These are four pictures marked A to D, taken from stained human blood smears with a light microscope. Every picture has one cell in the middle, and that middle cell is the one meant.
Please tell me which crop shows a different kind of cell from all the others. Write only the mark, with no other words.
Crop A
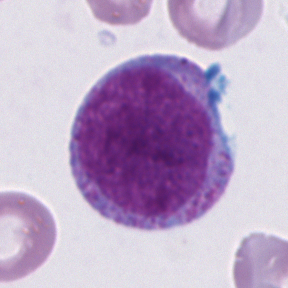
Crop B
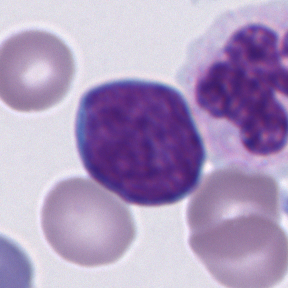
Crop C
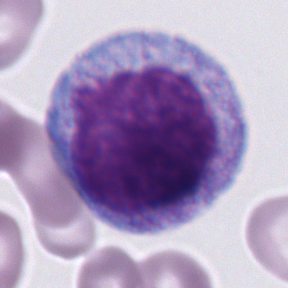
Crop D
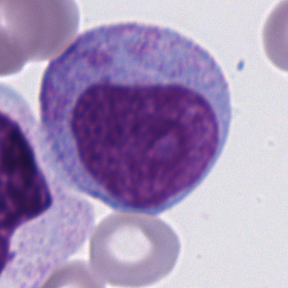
B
